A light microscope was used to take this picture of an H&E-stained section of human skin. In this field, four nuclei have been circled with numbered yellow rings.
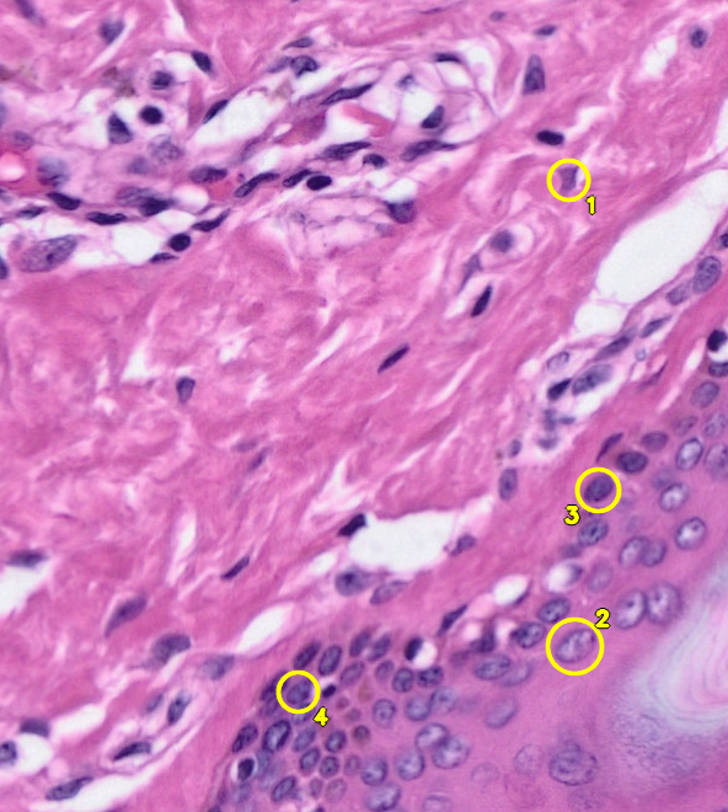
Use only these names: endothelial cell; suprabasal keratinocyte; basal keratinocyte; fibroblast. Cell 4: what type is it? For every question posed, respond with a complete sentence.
The one labeled 4 is a basal keratinocyte, to put it simply.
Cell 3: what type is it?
The mark numbered 3 indicates the nucleus of a basal keratinocyte.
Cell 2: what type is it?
The cell referenced by the number 2 is a suprabasal keratinocyte in this field.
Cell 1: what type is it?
Corresponding to a fibroblast is the cell labelled 1.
